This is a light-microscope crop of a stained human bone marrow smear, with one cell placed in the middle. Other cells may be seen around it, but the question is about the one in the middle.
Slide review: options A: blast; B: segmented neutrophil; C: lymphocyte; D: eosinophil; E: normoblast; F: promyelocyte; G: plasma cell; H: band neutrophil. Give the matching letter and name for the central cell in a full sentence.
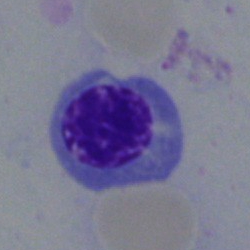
Since the middle cell is a normoblast, option E is the right one.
